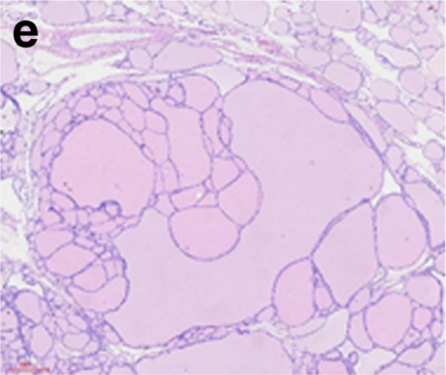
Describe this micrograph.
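Thyroid tissue is made up of tightly packed follicles of very unequal size, from small rounded ones to large distended ones. Each follicle is lined by a single thin layer of flattened epithelial cells with small purple nuclei. The follicles are filled with homogeneous pale pink colloid, and only scant delicate stroma lies between them.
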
